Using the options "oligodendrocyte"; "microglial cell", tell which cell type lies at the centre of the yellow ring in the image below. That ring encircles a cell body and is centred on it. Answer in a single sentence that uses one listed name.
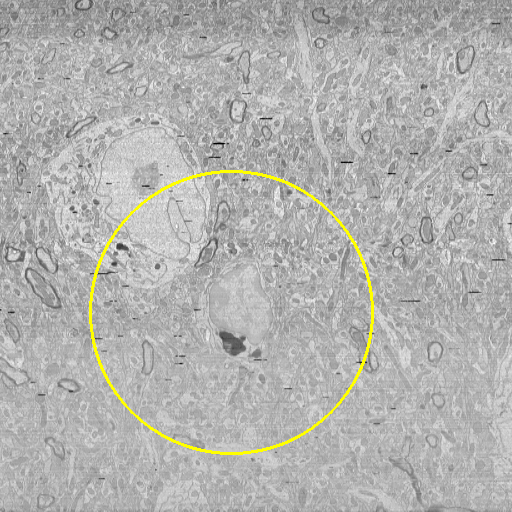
At the centre of the yellow ring lies the body of a microglial cell.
